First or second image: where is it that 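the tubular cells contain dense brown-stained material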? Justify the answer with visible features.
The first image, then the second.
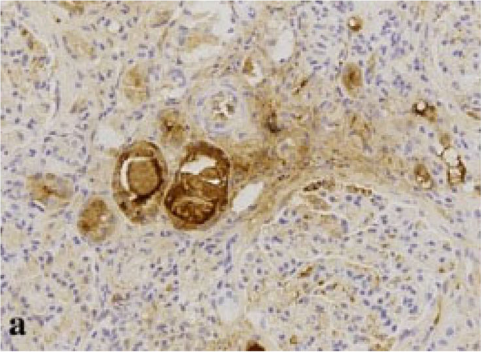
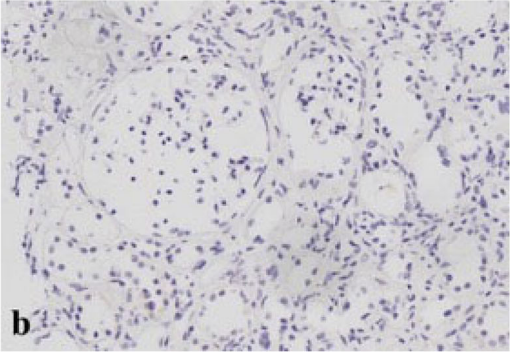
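Second image: tissue shows only blue nuclei and pale cytoplasm with no brown stain. First image: several tubules are filled with strong brown staining. That points to this answer: the first image.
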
